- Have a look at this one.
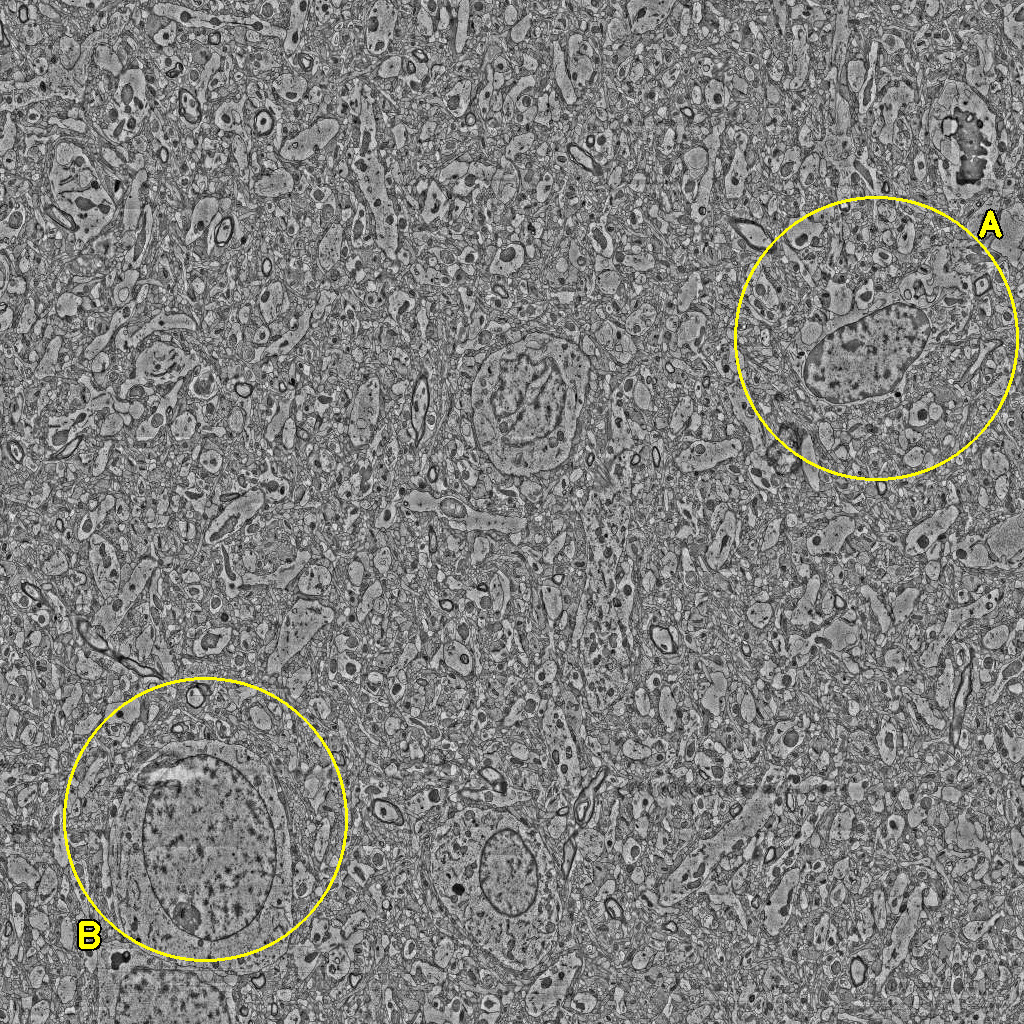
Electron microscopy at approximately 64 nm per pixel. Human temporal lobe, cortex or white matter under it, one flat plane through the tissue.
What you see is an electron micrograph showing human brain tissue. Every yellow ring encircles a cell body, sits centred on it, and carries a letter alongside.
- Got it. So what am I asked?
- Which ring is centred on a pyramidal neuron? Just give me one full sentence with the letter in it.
The cell asked for sits in the centre of the ring lettered B.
